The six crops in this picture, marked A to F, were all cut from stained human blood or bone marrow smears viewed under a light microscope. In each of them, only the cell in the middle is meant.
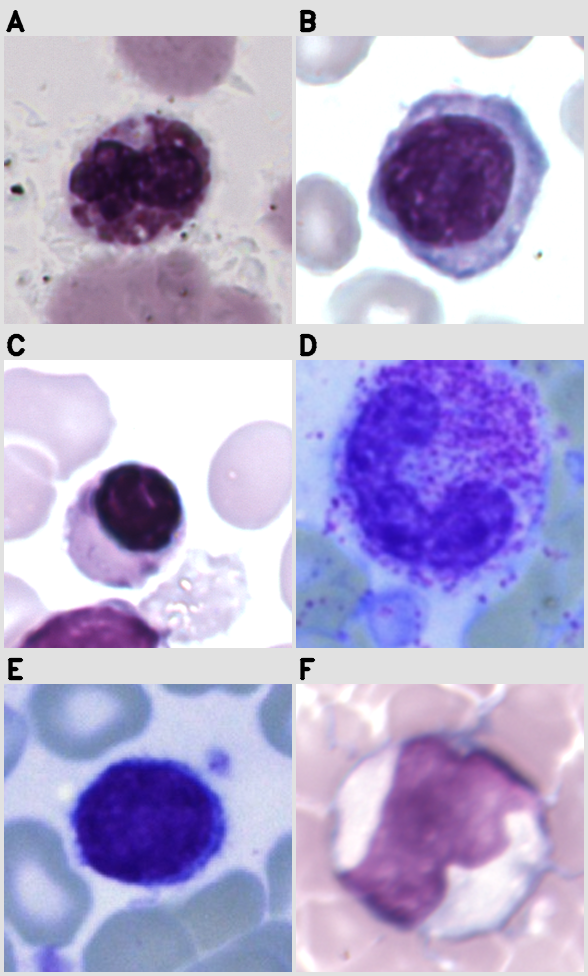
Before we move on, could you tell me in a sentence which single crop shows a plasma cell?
Here the crop that shows a plasma cell is crop B.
